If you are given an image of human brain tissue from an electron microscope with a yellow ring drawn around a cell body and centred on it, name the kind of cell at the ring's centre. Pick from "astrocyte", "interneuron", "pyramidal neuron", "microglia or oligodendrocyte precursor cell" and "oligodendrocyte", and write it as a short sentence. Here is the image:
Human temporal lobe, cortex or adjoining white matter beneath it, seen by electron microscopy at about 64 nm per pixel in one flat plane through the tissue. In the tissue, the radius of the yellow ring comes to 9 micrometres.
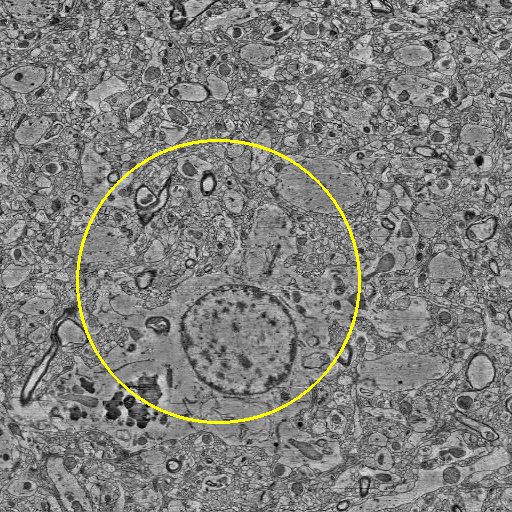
The cell at the ring's centre is an astrocyte.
